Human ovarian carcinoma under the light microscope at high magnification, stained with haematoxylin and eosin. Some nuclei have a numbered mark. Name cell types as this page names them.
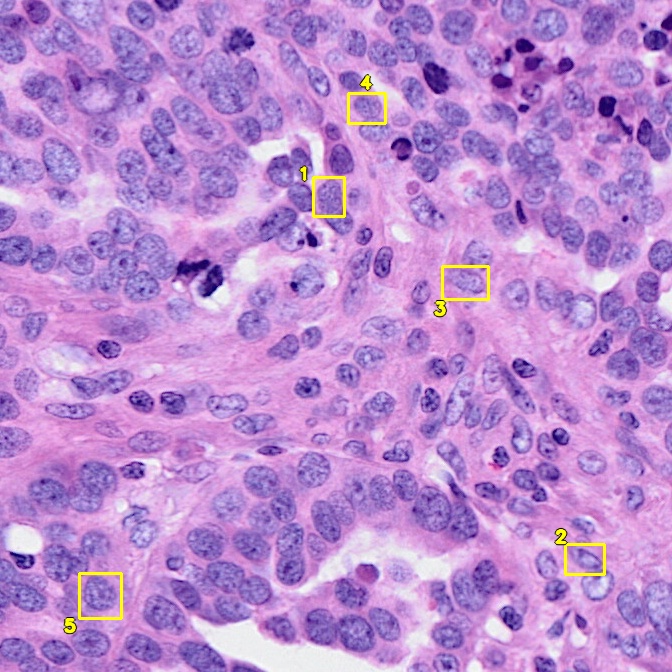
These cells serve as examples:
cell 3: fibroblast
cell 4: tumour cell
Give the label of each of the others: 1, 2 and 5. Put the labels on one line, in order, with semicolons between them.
tumour cell; fibroblast; tumour cell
